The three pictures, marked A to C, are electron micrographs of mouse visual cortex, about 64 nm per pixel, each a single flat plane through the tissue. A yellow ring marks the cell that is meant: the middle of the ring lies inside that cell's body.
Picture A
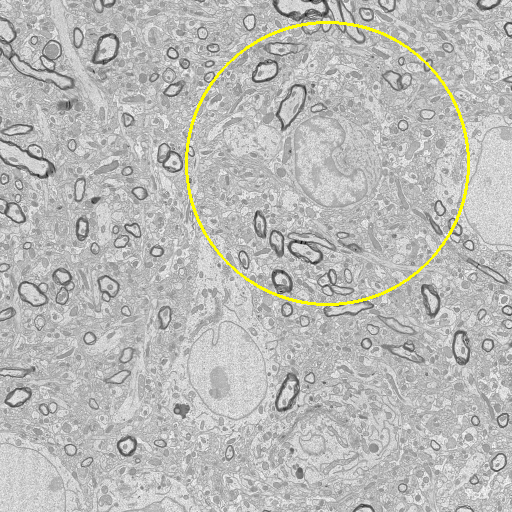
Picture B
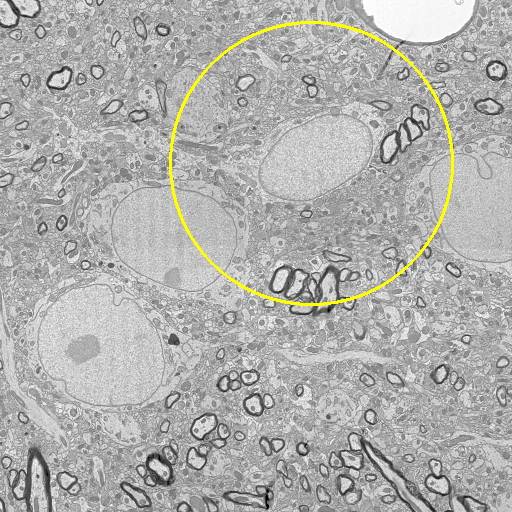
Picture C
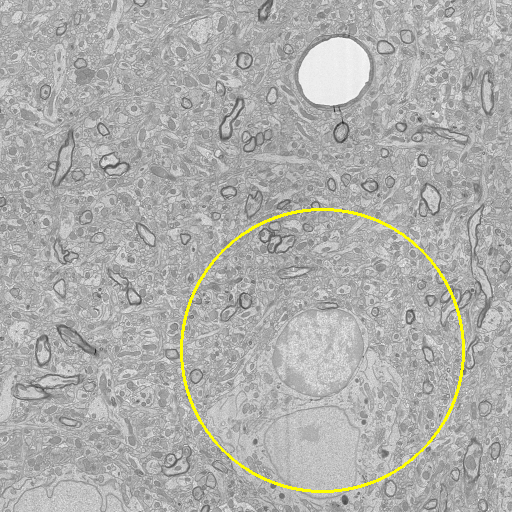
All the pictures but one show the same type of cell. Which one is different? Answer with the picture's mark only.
B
